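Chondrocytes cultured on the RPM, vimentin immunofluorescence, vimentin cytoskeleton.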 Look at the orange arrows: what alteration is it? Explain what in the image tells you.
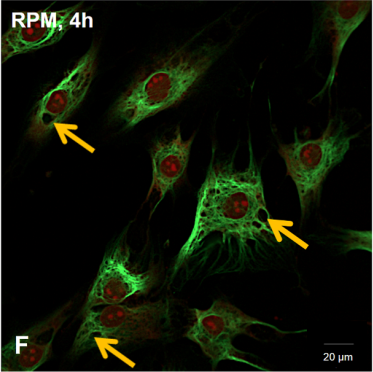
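The arrows point at small dark round gaps within the green filament network. The gaps lie close beside the red-stained nuclei.
Answer: small holes in the cytoplasm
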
